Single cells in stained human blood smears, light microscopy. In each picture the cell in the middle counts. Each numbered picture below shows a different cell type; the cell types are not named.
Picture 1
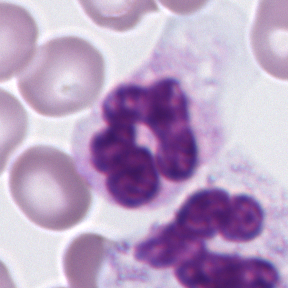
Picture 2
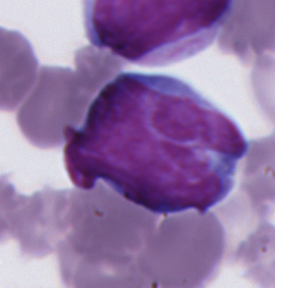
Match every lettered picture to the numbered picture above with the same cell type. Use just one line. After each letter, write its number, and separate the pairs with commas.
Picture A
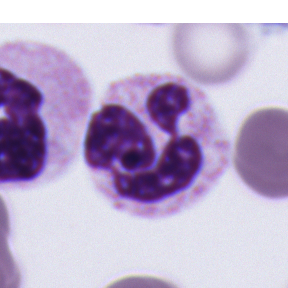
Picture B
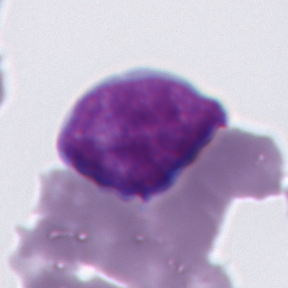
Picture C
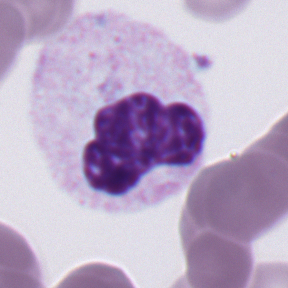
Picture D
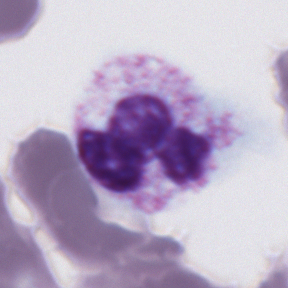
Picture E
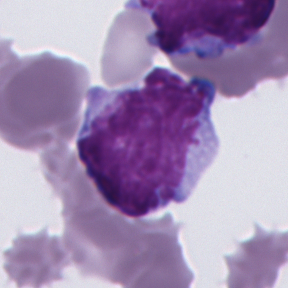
A 1, B 2, C 1, D 1, E 2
